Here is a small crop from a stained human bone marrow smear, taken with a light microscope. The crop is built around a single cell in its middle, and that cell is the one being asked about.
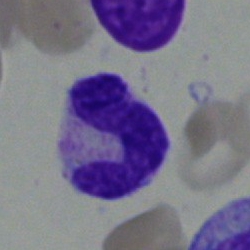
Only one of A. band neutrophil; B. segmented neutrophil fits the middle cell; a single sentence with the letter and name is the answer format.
Since the cell in the centre is a band neutrophil, the correct option is A.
